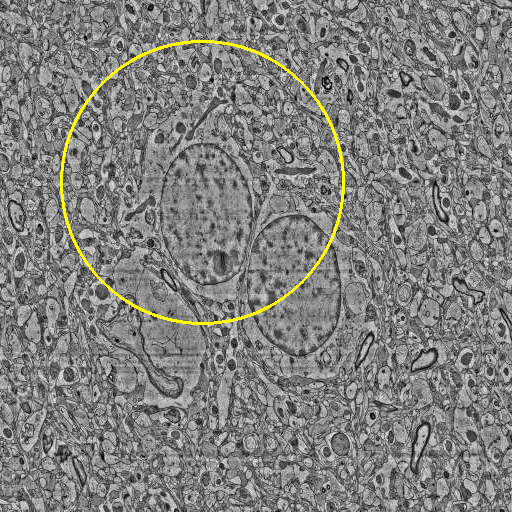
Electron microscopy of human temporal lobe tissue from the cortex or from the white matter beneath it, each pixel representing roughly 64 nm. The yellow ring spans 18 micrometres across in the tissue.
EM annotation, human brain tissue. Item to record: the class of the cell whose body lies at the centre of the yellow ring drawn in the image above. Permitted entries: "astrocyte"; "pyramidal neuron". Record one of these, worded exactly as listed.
astrocyte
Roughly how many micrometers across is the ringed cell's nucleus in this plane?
The ringed cell's nucleus is about 9 micrometres long and 6 micrometres wide in this plane.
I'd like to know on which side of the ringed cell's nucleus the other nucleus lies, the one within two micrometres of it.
The second nucleus sits to the lower right of it.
